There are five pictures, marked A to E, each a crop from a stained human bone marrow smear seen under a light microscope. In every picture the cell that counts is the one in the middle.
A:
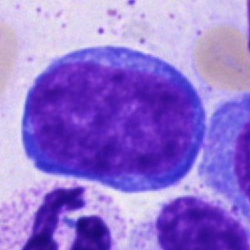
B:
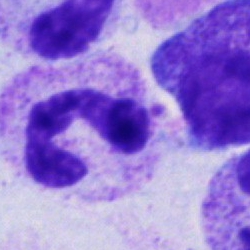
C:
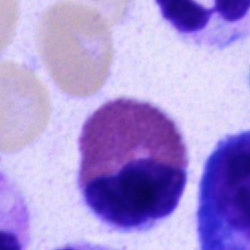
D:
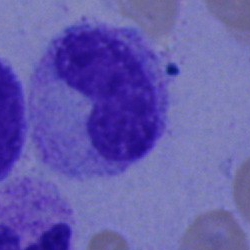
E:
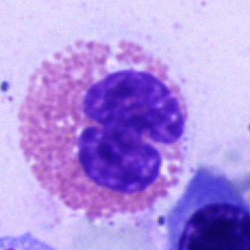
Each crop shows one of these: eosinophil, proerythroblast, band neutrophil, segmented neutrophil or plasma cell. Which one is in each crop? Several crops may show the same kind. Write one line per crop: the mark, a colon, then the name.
A: proerythroblast
B: band neutrophil
C: eosinophil
D: band neutrophil
E: eosinophil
